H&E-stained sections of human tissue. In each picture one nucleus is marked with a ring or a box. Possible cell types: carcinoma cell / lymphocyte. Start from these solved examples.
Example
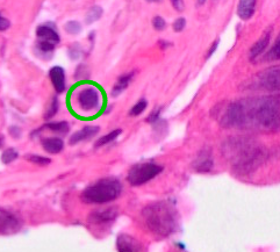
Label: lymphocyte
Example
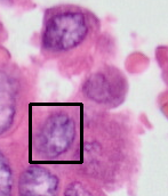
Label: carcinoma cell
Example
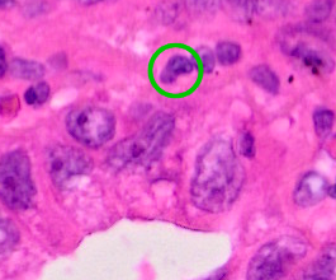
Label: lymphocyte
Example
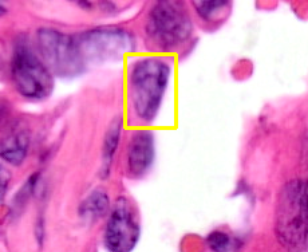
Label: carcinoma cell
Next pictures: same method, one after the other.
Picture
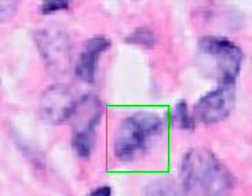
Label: carcinoma cell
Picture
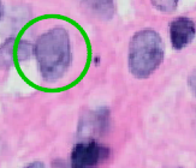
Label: carcinoma cell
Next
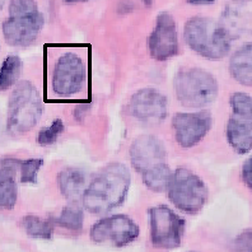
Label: carcinoma cell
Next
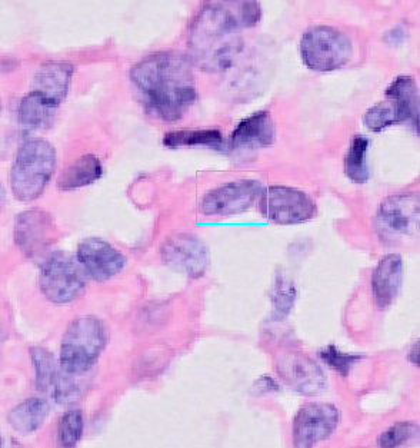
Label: carcinoma cell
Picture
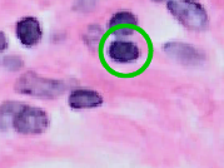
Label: lymphocyte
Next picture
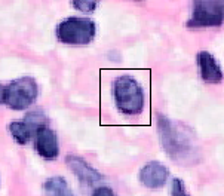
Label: lymphocyte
